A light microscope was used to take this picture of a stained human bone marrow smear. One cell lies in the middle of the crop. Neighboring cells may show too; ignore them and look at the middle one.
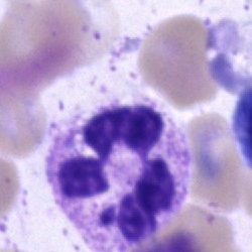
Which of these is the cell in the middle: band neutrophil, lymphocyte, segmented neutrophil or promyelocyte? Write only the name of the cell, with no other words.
segmented neutrophil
